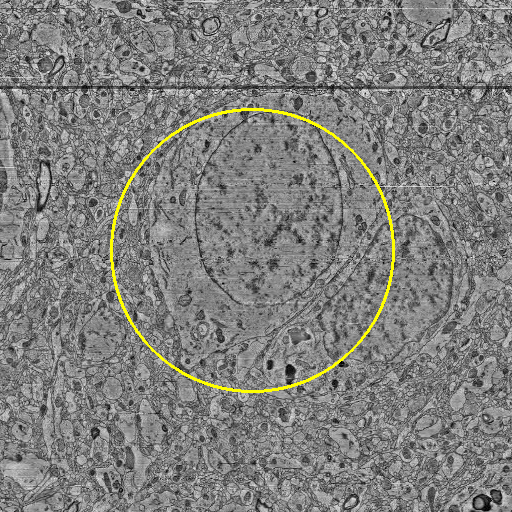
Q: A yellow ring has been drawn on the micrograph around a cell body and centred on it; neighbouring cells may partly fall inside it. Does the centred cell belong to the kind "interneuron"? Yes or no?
No, it belongs to another kind.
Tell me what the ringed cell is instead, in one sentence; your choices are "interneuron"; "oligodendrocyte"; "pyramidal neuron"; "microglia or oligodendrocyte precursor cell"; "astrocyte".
The cell enclosed by the ring is a pyramidal neuron.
